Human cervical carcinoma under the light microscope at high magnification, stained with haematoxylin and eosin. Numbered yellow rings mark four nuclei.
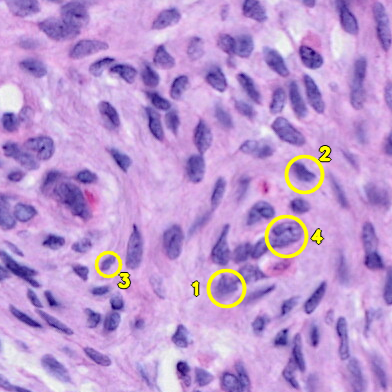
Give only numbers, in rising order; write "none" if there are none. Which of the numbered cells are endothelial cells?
4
